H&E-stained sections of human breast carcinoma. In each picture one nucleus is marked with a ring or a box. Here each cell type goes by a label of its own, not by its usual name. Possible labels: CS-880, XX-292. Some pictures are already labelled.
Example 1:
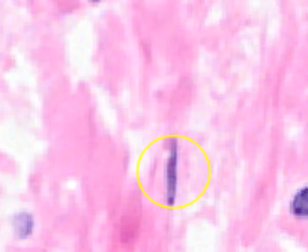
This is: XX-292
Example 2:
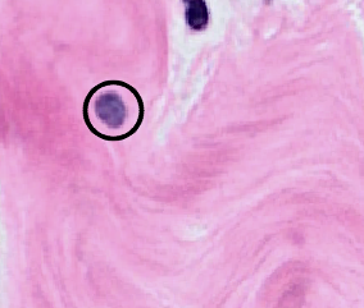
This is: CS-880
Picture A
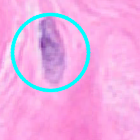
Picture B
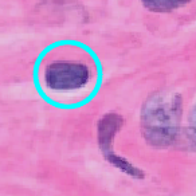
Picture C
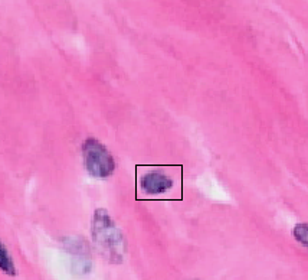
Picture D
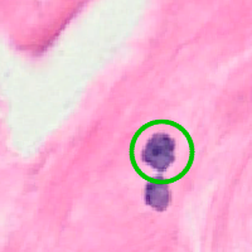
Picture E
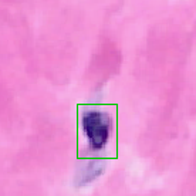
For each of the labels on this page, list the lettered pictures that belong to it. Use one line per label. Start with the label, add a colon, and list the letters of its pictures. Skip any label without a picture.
CS-880: B, C, D, E
XX-292: A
